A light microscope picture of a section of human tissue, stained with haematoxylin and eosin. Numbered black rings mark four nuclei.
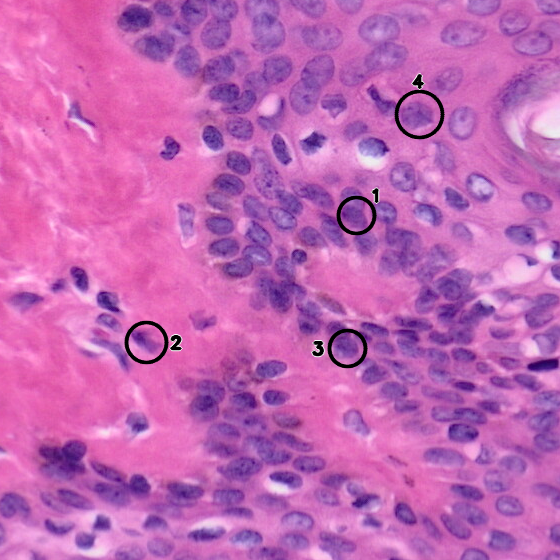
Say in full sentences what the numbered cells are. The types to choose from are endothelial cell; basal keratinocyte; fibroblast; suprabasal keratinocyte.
Cell 1 is a basal keratinocyte, cell 2 is a fibroblast, cell 3 is a basal keratinocyte and cell 4 is a suprabasal keratinocyte.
